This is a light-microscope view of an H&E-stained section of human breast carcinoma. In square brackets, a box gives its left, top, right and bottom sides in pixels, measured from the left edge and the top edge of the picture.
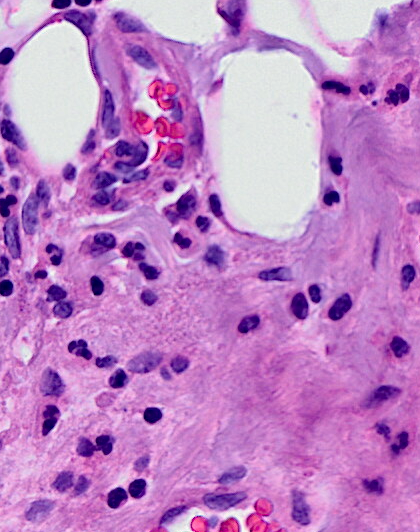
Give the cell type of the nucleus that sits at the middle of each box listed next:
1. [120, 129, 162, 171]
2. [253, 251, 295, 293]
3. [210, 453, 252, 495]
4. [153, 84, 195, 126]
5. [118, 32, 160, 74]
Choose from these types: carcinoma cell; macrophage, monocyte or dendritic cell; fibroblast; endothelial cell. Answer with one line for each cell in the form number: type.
1: endothelial cell
2: fibroblast
3: fibroblast
4: endothelial cell
5: endothelial cell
